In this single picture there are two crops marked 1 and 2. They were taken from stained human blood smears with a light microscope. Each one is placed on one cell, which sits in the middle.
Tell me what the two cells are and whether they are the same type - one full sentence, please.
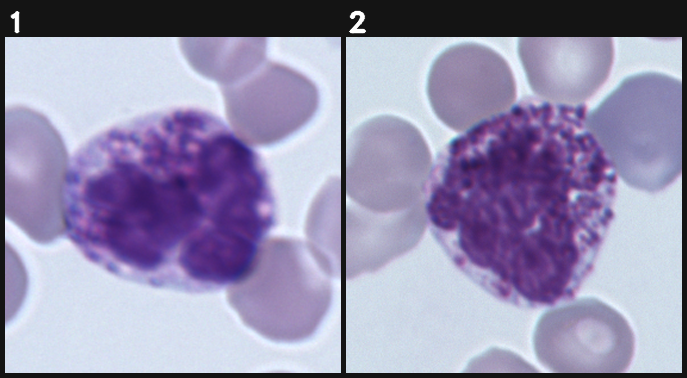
Yes, both crops have basophils as their central cells.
